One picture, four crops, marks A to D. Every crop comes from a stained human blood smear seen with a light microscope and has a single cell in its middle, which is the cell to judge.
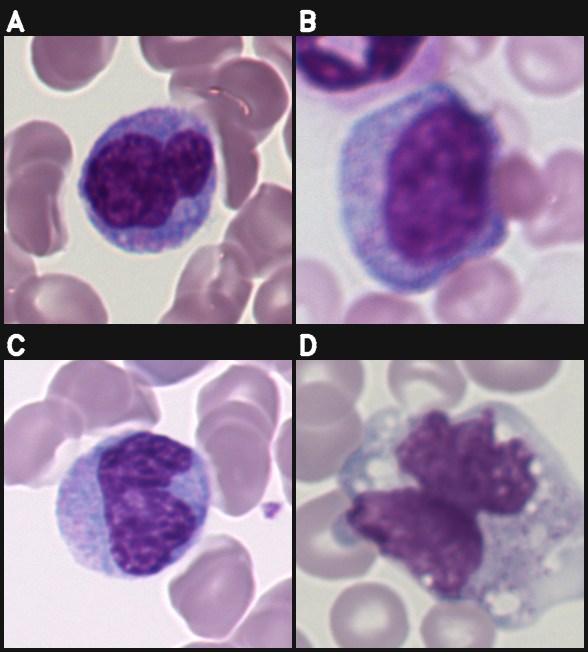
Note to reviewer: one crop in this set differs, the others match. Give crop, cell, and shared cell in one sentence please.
Crop B is the one that is a promyelocyte, and the other crops all show monocytes.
